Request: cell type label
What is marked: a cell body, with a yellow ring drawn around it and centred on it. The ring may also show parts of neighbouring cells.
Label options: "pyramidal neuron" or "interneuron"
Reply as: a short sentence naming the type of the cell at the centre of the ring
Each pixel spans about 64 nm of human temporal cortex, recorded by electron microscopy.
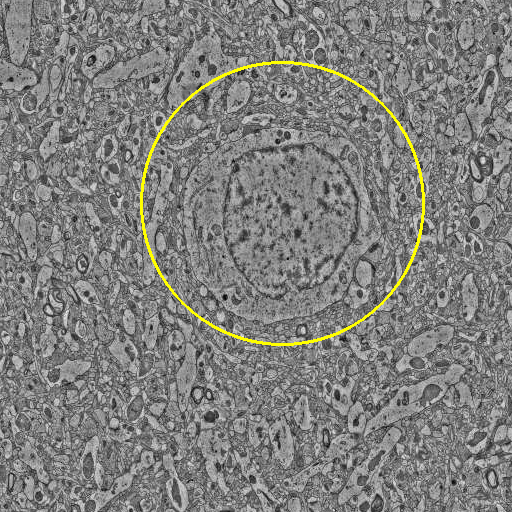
The marked cell body is that of an interneuron.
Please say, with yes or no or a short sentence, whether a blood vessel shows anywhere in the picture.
No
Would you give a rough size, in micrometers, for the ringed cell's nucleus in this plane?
Roughly 9 micrometers across, in this plane.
